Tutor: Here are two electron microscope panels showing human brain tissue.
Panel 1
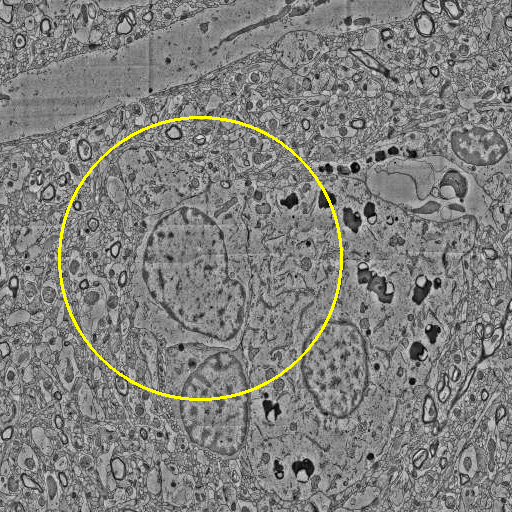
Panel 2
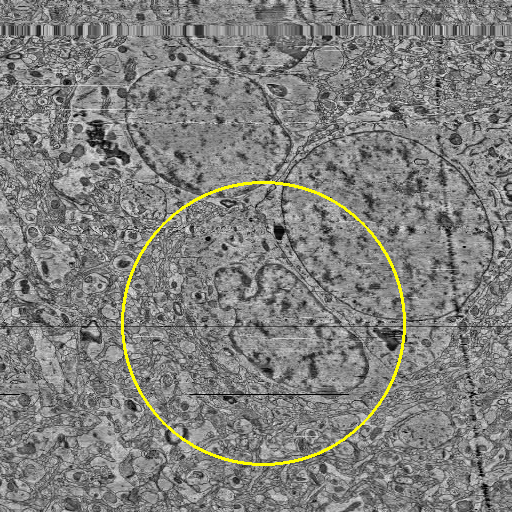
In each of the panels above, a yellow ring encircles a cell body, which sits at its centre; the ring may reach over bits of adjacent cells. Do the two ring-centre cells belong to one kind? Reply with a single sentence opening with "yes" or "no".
Yes, the two cells sitting at the ring centres in the panels belong to one kind.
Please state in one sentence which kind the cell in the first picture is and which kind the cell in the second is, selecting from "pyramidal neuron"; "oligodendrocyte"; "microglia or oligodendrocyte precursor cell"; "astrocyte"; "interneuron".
Both pictures show a microglial cell or oligodendrocyte precursor cell at the centre of the ring.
